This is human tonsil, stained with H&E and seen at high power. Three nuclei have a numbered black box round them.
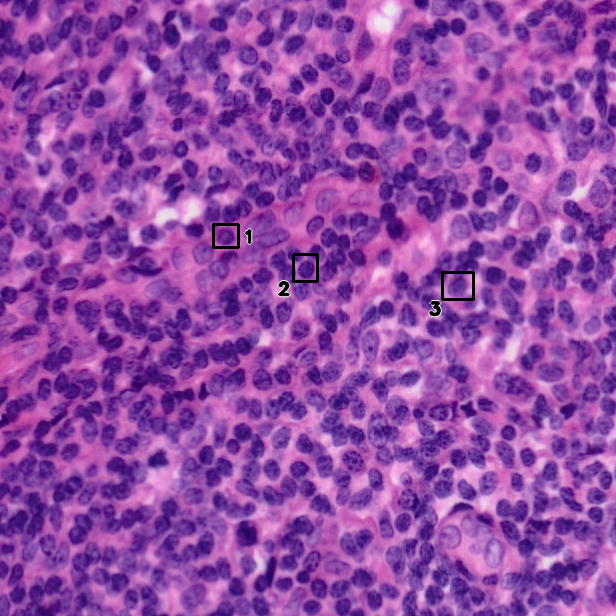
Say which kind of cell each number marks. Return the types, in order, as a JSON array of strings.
["endothelial cell", "small lymphocyte", "small lymphocyte"]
